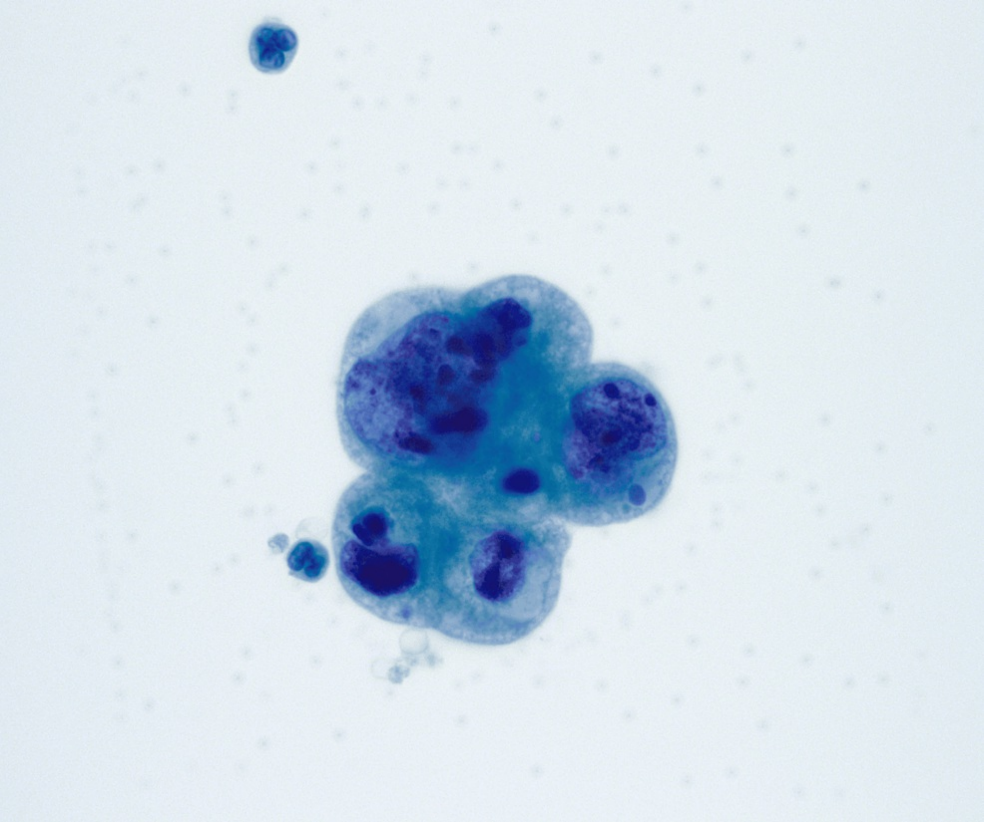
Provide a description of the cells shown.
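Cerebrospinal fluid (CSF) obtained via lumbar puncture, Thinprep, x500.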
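A small, tight cluster of markedly enlarged atypical cells lies in the centre of an otherwise clear, pale background. The cluster holds about five large cells whose blue-green cytoplasm merges into a common mass with a smooth, scalloped outer border and a finely granular to finely vacuolated texture. Their nuclei are large, round to irregular in contour, and dark blue-purple, with coarse clumps of chromatin and some very dark, hyperchromatic nuclei. Several cells have a high nucleus-to-cytoplasm ratio. Small polymorphonuclear neutrophils with lobed nuclei lie apart at the upper left and beside the lower left edge of the cluster, far smaller than the atypical cells.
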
